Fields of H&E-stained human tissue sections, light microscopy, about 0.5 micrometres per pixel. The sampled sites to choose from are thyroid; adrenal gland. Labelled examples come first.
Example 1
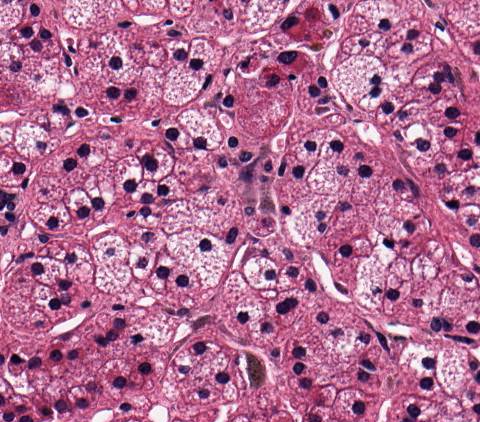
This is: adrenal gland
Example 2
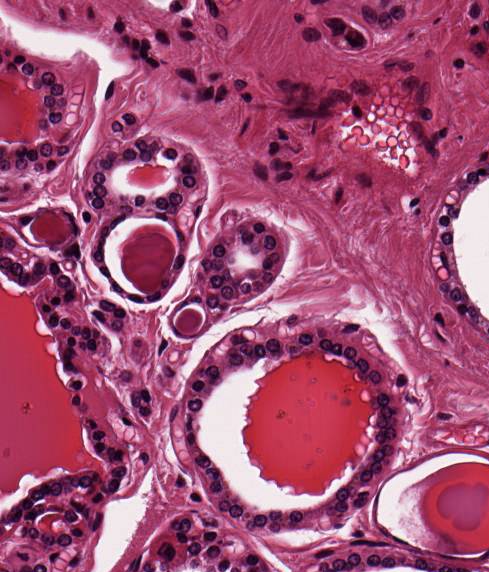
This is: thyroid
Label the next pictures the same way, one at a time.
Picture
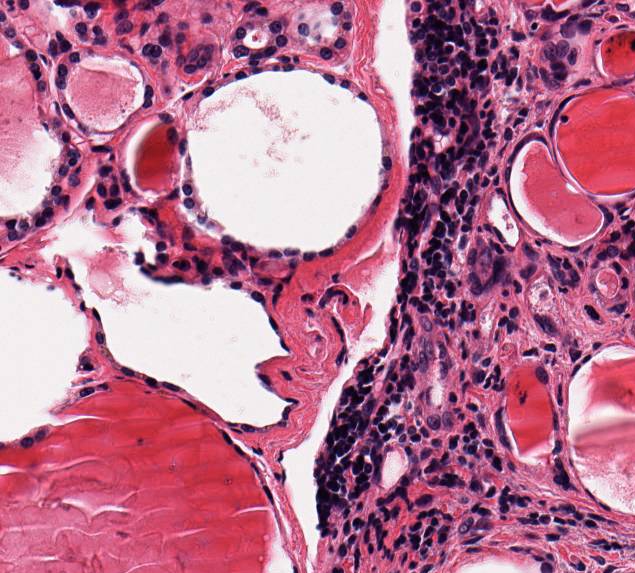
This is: thyroid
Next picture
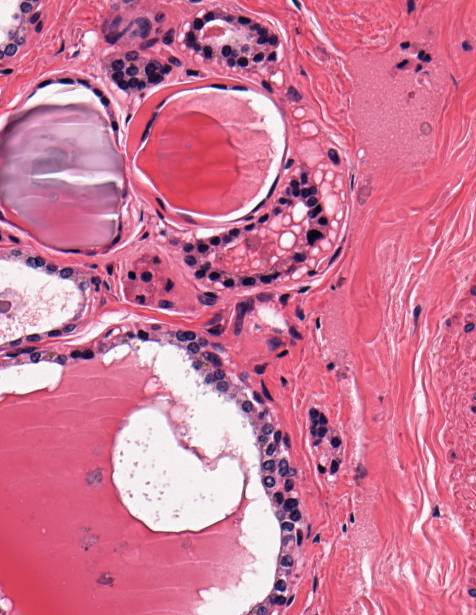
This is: thyroid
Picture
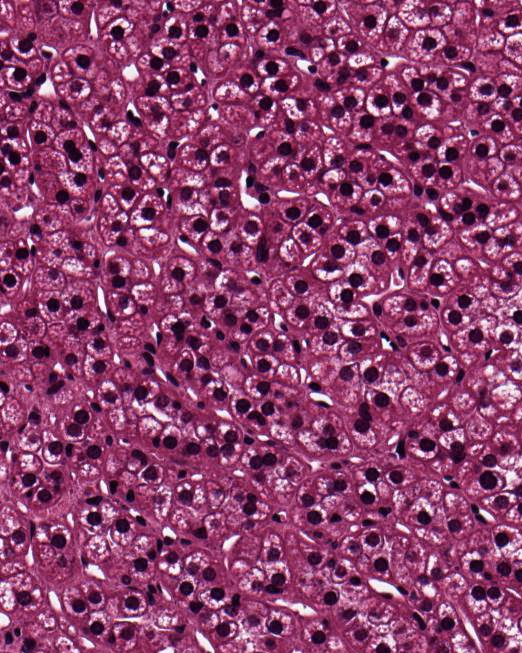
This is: adrenal gland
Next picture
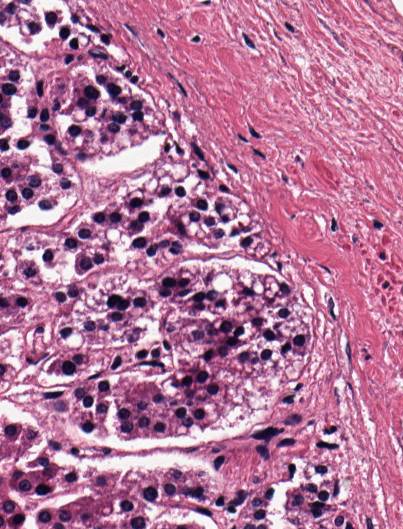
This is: adrenal gland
